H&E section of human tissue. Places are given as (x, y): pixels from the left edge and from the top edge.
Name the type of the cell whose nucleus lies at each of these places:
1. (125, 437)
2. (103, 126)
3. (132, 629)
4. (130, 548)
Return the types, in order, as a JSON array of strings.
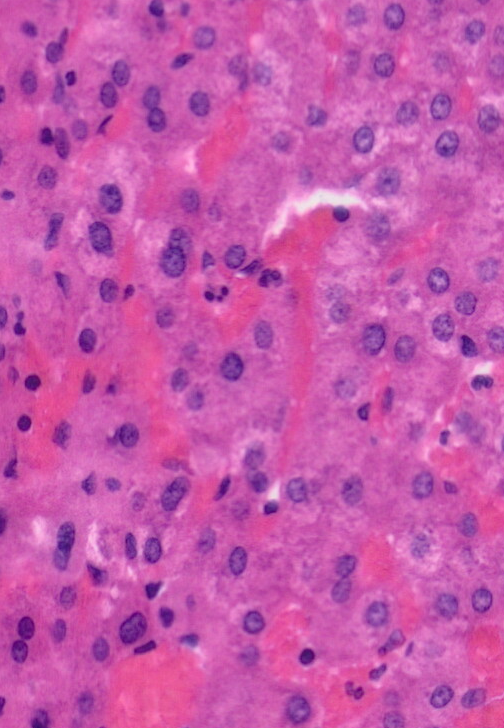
["hepatocyte", "endothelial cell", "hepatocyte", "fibroblast or stellate cell"]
